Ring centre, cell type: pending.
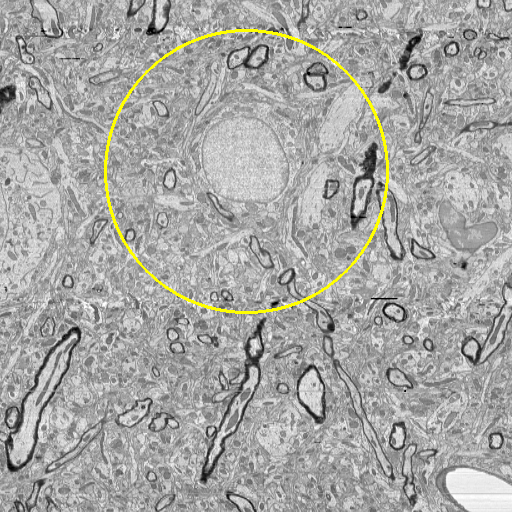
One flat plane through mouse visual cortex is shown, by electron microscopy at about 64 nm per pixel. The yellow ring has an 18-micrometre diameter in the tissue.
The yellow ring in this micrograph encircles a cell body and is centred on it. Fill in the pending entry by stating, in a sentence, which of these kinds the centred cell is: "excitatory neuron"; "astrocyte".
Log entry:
The centred cell is recorded as an astrocyte.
